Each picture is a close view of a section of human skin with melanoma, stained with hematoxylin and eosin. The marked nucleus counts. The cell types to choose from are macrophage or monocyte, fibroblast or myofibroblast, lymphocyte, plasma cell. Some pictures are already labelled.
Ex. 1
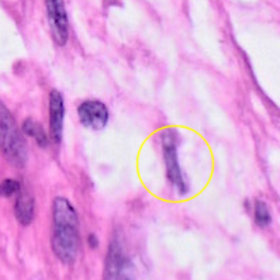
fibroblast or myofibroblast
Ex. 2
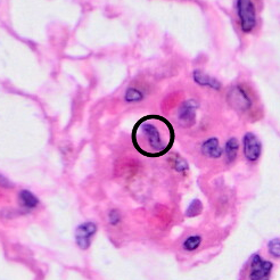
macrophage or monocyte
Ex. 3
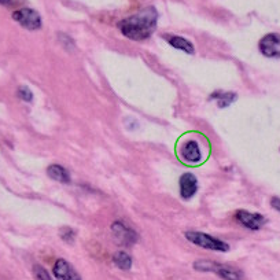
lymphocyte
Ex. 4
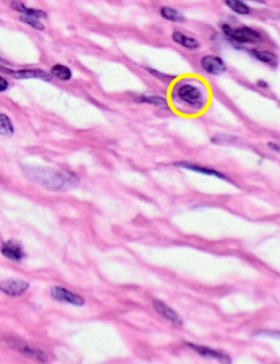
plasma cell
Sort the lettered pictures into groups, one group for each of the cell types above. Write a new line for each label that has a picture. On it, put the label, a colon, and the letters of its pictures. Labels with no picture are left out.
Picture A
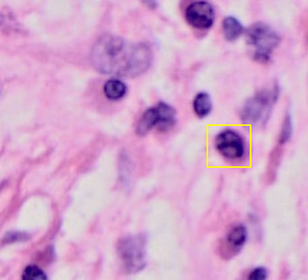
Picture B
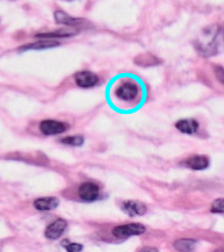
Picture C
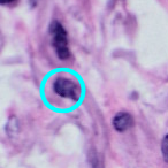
plasma cell: A, B, C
